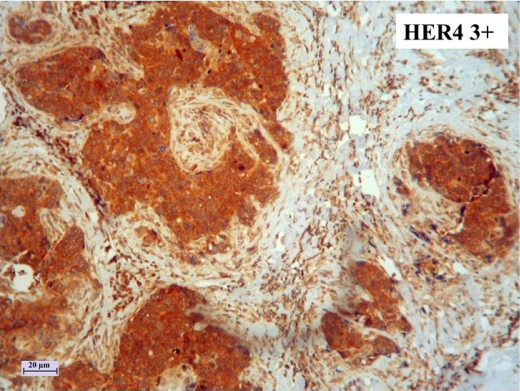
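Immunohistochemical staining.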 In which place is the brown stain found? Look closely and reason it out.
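Brown stain fills the whole body of the cells in the clusters. Cell outlines are not picked out separately from the interiors. So: membranous/cytoplasmic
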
